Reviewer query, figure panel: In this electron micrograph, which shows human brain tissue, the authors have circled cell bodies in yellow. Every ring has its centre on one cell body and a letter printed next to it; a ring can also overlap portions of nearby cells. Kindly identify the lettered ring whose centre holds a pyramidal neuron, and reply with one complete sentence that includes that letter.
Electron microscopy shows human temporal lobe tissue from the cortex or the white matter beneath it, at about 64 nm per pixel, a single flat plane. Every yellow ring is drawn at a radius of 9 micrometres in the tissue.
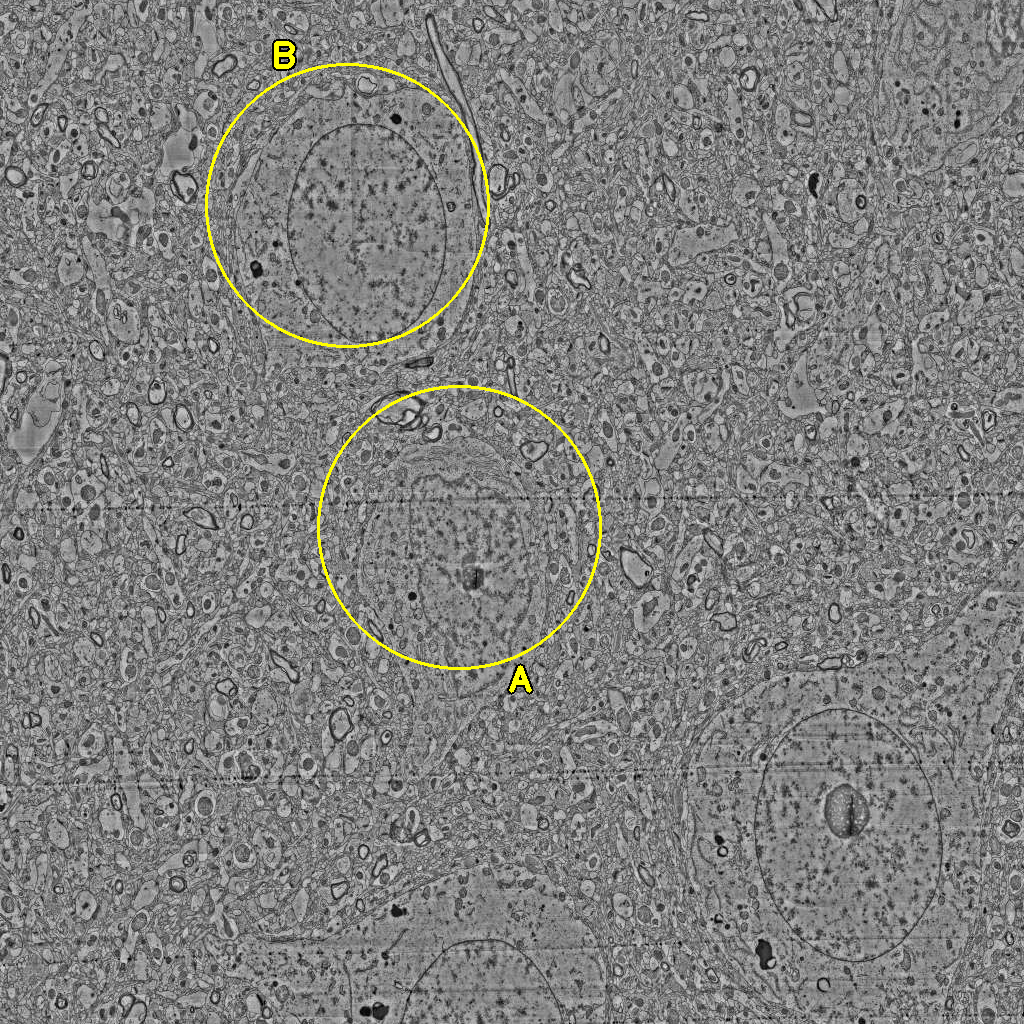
In this figure panel, the ring labelled B has the cell asked for at its centre.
